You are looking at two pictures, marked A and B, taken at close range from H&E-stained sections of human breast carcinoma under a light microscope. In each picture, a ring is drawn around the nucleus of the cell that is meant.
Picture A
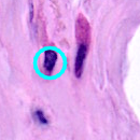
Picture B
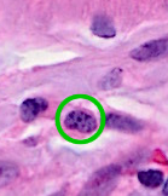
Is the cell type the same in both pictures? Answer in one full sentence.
Yes, the two pictures both show mast cells.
